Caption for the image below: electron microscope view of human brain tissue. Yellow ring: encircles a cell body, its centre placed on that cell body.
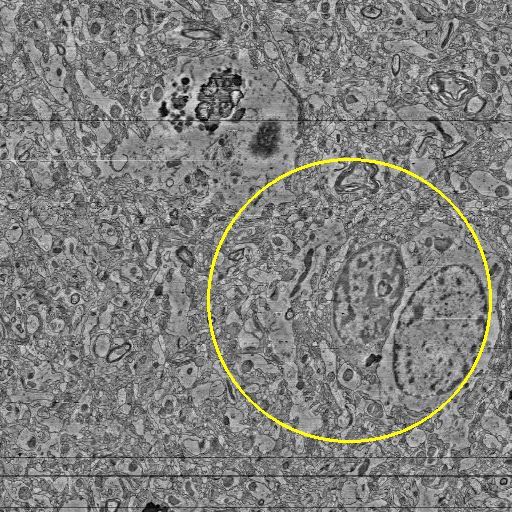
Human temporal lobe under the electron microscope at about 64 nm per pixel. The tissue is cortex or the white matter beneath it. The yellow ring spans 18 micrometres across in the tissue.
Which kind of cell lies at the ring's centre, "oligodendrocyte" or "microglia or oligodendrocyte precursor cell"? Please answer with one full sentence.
The picture shows an oligodendrocyte at the centre of the yellow ring.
